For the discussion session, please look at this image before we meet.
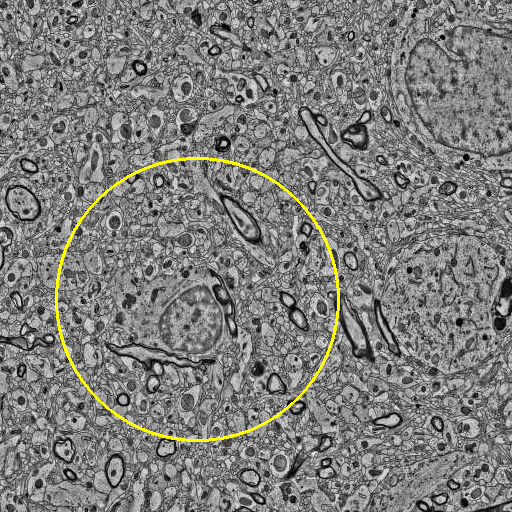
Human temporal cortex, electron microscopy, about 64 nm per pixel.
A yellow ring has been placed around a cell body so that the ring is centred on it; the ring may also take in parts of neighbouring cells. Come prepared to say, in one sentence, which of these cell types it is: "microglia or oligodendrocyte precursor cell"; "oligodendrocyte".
The cell centred in the ring is an oligodendrocyte.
